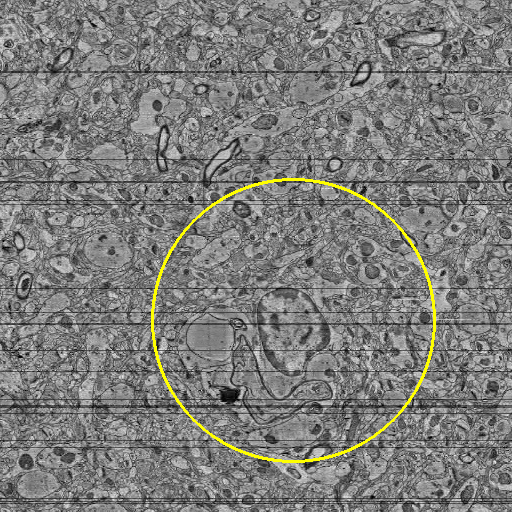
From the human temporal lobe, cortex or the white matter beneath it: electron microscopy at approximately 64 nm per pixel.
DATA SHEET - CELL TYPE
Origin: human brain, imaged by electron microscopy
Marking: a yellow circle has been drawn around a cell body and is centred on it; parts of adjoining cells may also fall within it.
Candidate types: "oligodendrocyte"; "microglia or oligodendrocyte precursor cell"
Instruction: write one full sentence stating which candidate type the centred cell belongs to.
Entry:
The cell body at the centre of the yellow ring in this micrograph belongs to a microglial cell or oligodendrocyte precursor cell.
